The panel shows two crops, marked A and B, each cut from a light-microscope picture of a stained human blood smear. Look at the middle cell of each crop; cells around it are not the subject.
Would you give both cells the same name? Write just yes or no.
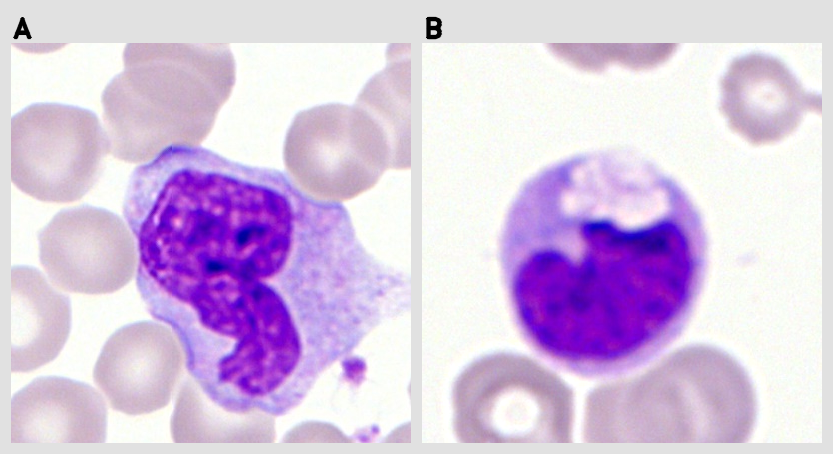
yes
